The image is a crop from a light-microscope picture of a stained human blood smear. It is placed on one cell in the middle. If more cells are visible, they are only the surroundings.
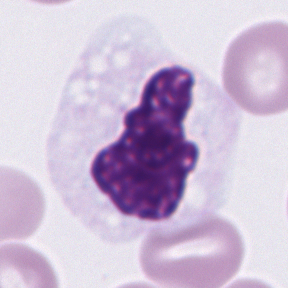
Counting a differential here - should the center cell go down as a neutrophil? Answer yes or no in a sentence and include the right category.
Yes, the cell lying in the centre of the crop is identified as a neutrophil.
